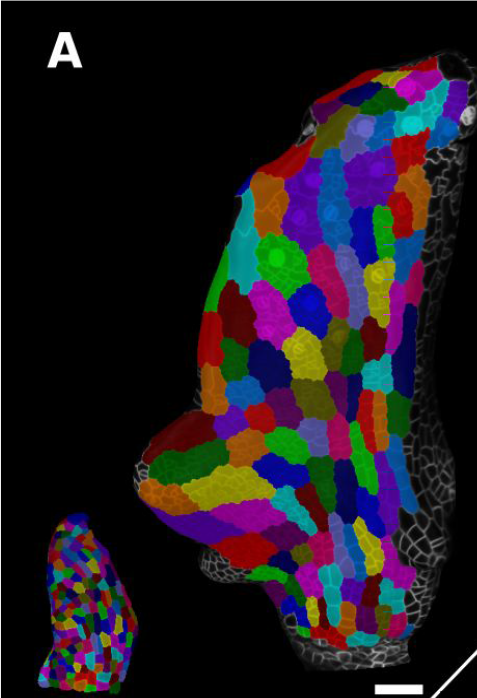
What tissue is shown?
Leaf primordium.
